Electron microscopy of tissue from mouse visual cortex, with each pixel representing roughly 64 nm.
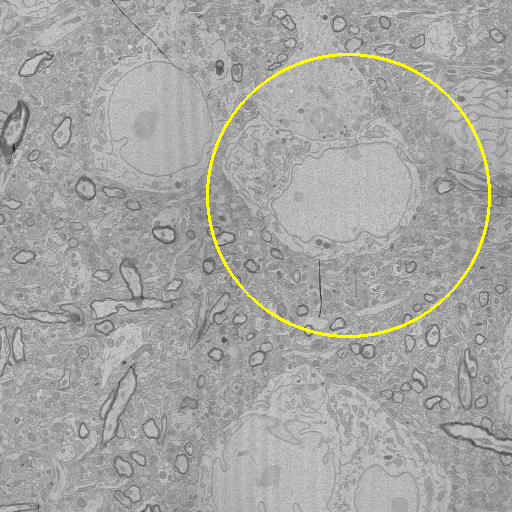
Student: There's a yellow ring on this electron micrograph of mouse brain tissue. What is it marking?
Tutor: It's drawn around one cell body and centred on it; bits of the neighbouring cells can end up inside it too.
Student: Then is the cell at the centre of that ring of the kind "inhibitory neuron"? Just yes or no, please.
yes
